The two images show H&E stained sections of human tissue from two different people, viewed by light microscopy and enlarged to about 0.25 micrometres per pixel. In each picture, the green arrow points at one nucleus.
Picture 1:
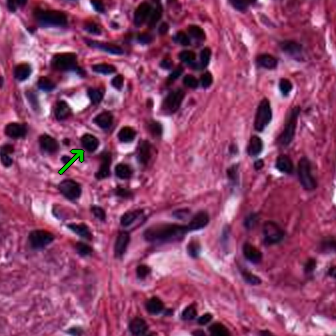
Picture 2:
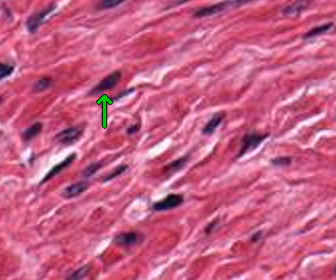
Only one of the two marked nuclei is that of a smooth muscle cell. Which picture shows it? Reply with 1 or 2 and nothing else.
2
